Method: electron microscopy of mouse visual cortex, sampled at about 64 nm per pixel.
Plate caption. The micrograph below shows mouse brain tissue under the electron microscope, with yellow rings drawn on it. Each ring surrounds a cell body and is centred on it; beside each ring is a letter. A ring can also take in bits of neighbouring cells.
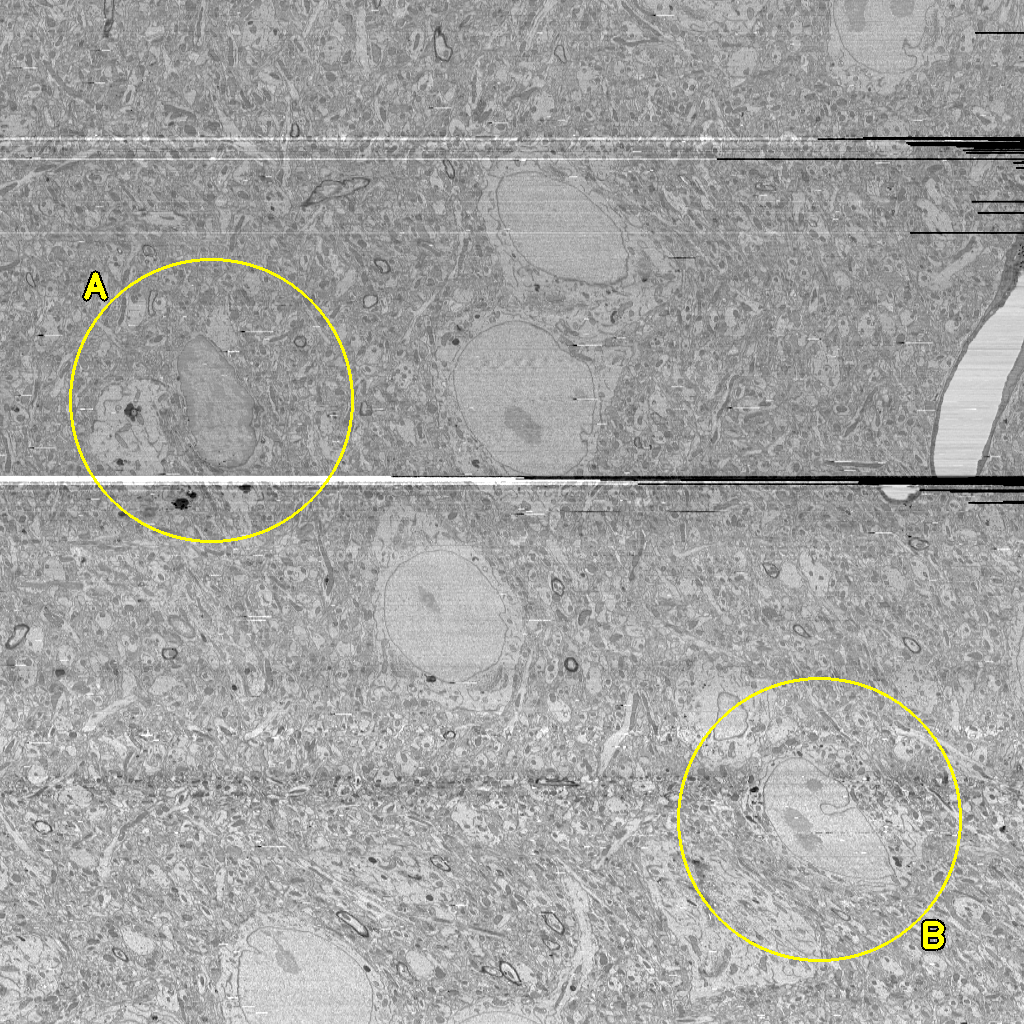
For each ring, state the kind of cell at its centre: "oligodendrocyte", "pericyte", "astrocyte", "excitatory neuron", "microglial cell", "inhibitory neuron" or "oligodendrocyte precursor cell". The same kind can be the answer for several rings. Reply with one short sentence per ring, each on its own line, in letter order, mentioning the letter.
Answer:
Ring A is drawn around a microglial cell.
Ring B is drawn around an inhibitory neuron.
